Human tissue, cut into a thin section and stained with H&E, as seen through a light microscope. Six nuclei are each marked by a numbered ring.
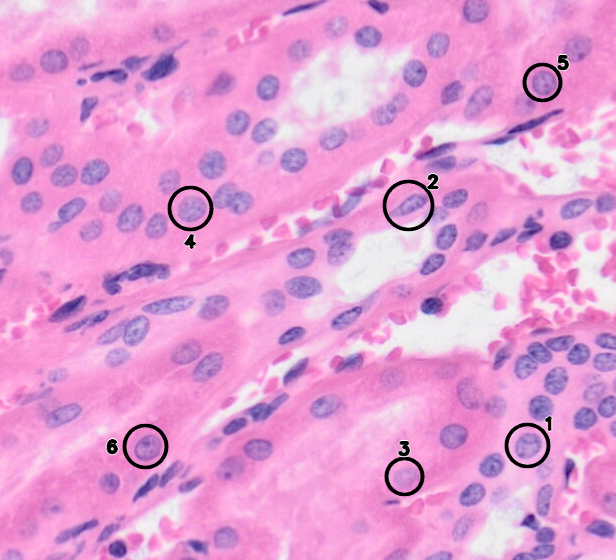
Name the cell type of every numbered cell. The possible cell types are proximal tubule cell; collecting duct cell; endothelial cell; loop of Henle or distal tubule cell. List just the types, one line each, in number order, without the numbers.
collecting duct cell
collecting duct cell
proximal tubule cell
loop of Henle or distal tubule cell
proximal tubule cell
proximal tubule cell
